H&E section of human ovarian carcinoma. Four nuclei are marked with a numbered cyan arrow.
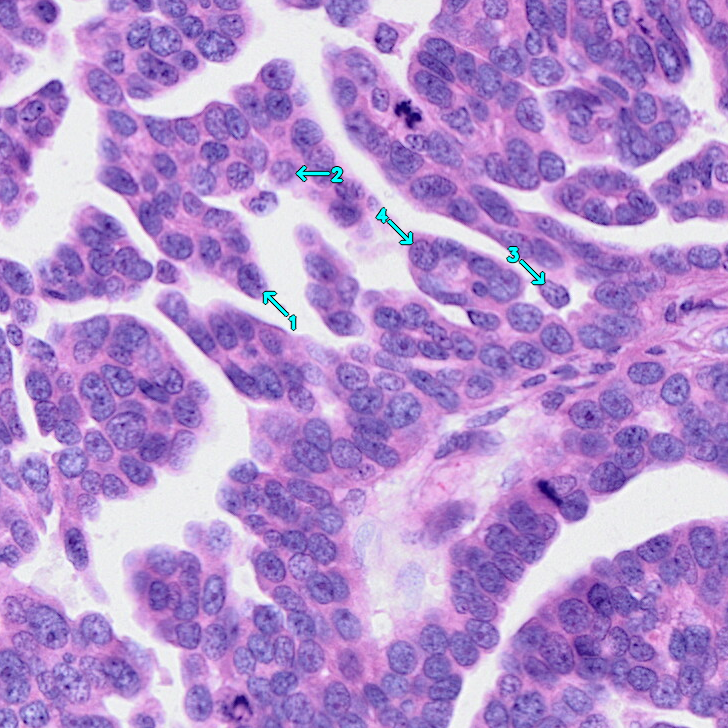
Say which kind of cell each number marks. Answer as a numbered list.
1. carcinoma cell
2. carcinoma cell
3. macrophage or monocyte
4. carcinoma cell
